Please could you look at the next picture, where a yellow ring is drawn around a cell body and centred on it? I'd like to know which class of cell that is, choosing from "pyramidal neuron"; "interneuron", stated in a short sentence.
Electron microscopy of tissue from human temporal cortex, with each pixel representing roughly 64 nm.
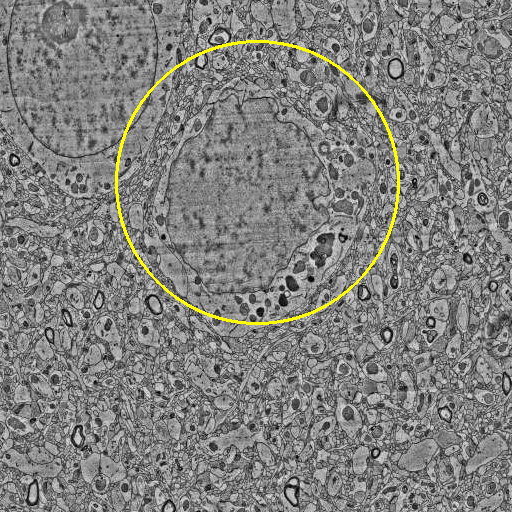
The ring's centre lies on an interneuron.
